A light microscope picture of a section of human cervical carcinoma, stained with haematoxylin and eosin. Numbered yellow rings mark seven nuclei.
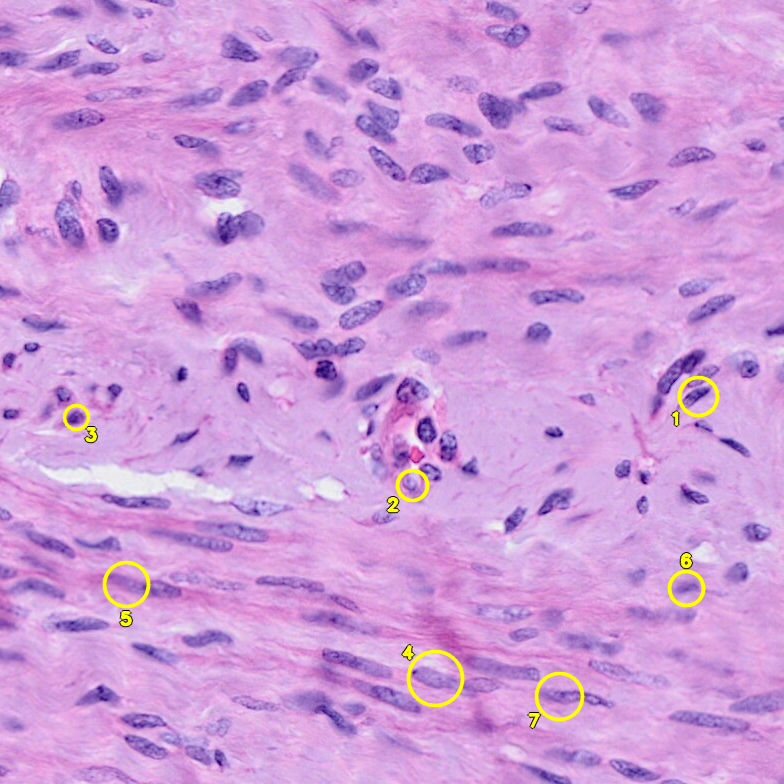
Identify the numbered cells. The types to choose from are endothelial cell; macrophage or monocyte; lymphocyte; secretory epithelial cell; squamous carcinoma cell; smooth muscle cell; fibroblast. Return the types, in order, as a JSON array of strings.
["fibroblast", "endothelial cell", "smooth muscle cell", "smooth muscle cell", "smooth muscle cell", "fibroblast", "smooth muscle cell"]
